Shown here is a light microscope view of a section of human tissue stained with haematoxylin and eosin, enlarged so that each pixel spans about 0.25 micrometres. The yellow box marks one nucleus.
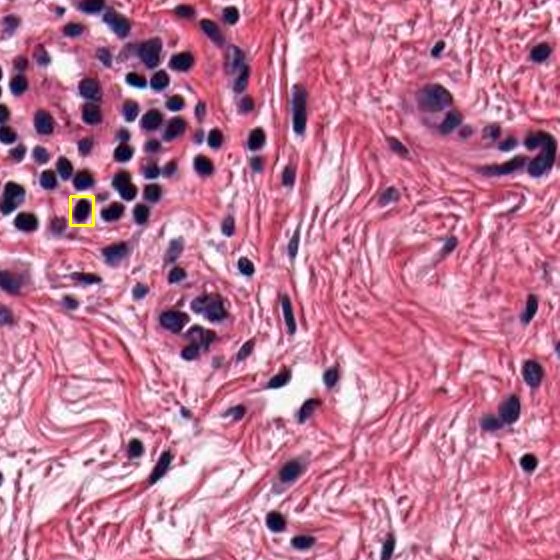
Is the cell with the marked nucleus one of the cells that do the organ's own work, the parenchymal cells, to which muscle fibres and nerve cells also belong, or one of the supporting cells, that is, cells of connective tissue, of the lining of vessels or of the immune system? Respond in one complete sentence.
The indicated nucleus in this section belongs to a supporting cell.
